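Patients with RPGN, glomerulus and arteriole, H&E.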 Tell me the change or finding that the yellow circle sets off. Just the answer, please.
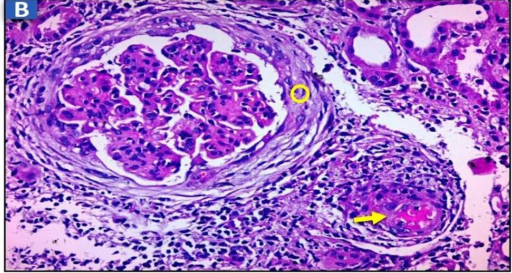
fibrocellular crescent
